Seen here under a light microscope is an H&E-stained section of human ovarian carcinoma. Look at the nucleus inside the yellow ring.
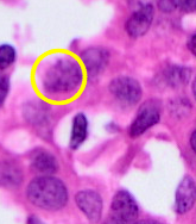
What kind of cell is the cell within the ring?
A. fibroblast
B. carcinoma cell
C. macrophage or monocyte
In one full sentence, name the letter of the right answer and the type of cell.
The correct choice is option B; the cell within the ring is a carcinoma cell.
